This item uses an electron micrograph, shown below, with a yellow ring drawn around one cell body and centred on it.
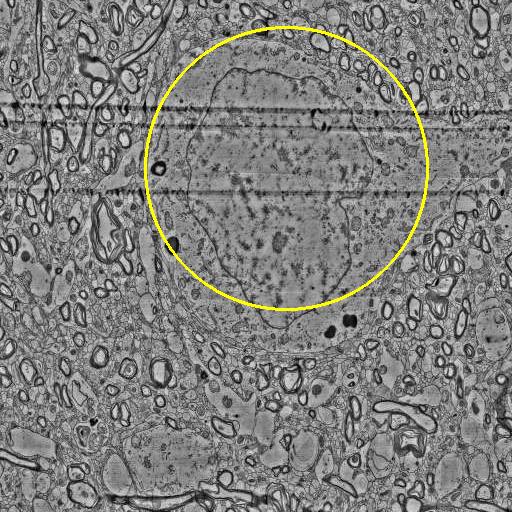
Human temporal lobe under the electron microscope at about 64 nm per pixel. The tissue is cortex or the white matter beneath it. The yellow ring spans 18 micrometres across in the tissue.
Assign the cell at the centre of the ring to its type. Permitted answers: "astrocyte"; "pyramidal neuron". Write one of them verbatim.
pyramidal neuron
